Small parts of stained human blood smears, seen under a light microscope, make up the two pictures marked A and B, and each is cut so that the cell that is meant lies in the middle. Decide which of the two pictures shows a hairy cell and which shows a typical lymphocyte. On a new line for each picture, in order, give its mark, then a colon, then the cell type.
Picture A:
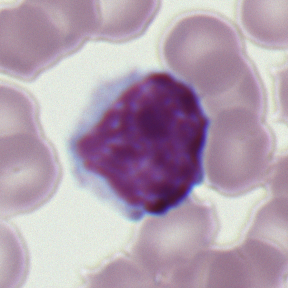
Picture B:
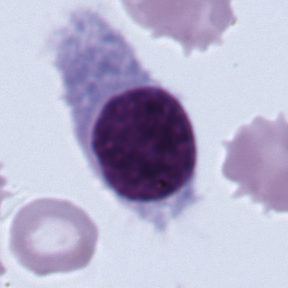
A: typical lymphocyte
B: hairy cell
